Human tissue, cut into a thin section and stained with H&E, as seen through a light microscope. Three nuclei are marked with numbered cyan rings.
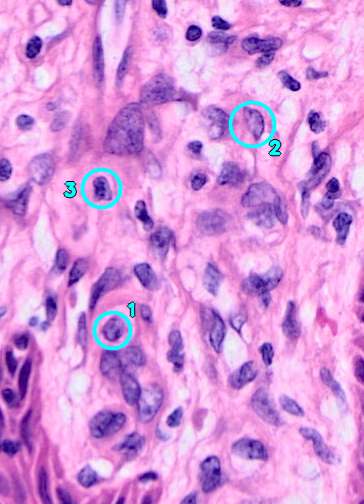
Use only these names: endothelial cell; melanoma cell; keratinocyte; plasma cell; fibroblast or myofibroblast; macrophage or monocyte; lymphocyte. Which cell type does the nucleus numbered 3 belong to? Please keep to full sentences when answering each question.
The cell to which the number 3 is assigned is a lymphocyte.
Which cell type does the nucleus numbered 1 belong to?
Cell 1, among those numbered, is an endothelial cell.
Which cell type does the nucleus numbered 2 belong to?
The numbered cell 2 is identified here as an endothelial cell.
